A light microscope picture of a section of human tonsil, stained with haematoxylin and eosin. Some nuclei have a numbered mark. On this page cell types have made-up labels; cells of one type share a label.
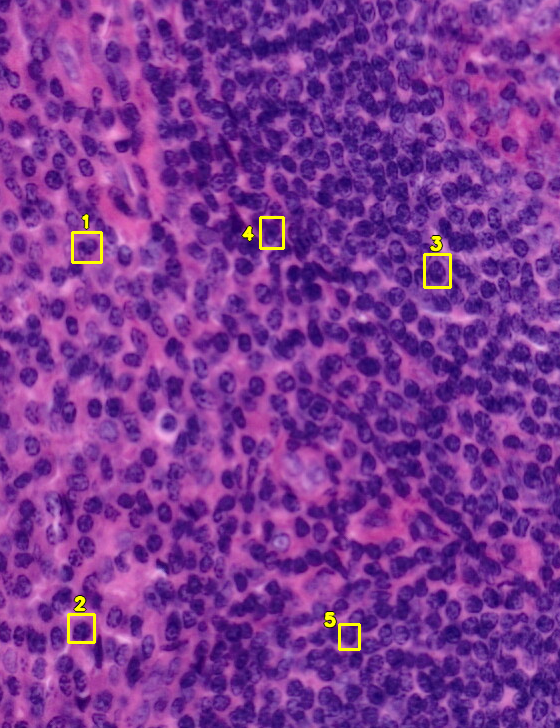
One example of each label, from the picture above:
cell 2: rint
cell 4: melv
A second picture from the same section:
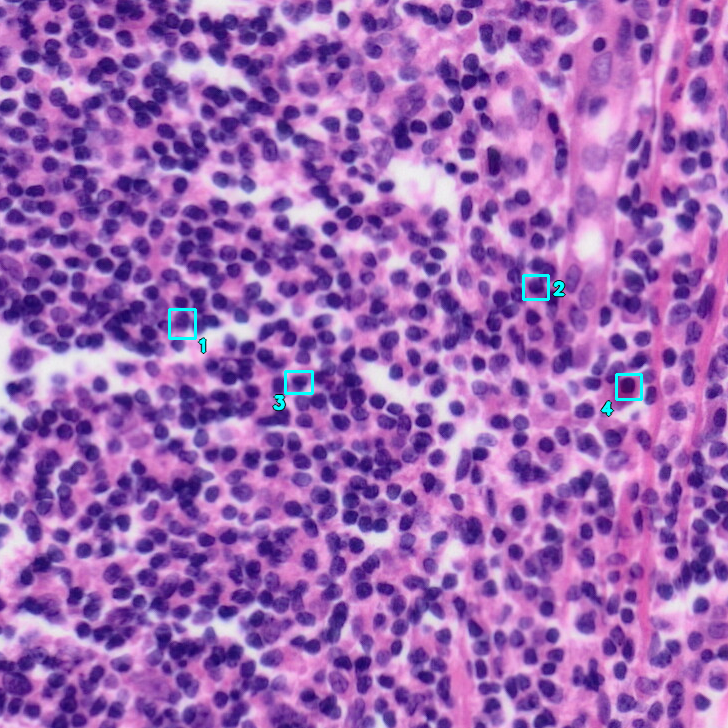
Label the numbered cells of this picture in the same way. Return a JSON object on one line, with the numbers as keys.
{"1": "melv", "2": "melv", "3": "melv", "4": "rint"}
